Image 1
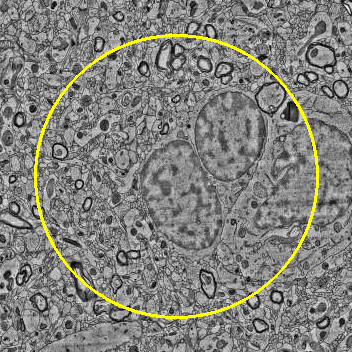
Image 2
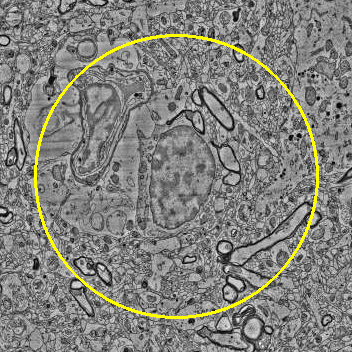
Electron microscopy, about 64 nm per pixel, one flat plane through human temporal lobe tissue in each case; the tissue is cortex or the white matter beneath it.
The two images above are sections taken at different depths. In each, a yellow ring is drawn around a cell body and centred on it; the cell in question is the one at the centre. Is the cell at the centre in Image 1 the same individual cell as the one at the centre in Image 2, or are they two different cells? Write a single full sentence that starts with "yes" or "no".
No, the two rings are not on the same cell.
